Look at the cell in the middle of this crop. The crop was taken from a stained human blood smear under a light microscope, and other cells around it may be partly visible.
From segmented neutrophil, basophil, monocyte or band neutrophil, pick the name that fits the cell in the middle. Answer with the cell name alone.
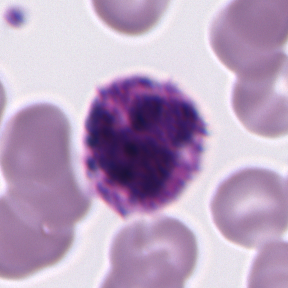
basophil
